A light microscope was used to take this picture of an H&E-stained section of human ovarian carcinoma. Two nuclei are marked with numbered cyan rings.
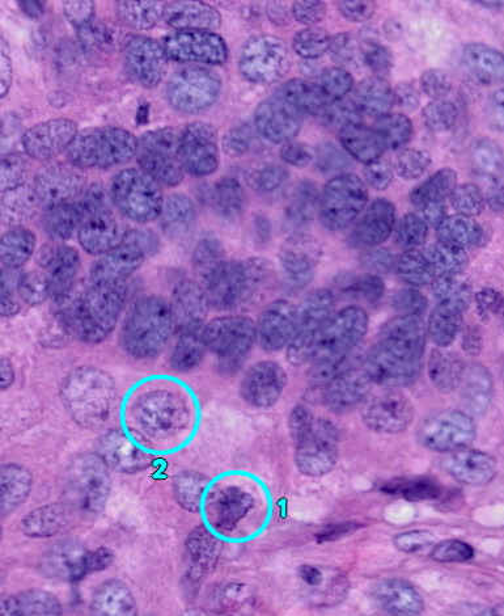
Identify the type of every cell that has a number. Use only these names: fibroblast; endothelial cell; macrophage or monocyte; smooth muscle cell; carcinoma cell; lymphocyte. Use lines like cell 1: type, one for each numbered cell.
cell 1: macrophage or monocyte
cell 2: fibroblast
